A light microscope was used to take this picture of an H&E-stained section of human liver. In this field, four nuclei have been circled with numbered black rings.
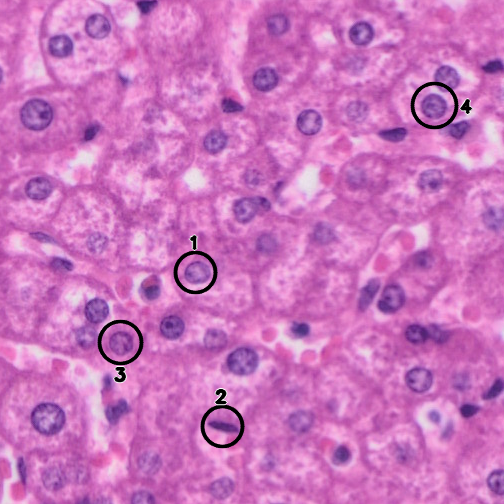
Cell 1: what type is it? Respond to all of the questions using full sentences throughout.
To a hepatocyte belongs the nucleus marked 1.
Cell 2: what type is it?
The nucleus with number 2 is that of an endothelial cell.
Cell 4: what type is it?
The cell carrying label 4 is identified as a hepatocyte.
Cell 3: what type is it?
Classified as a hepatocyte is the cell with the number 3.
